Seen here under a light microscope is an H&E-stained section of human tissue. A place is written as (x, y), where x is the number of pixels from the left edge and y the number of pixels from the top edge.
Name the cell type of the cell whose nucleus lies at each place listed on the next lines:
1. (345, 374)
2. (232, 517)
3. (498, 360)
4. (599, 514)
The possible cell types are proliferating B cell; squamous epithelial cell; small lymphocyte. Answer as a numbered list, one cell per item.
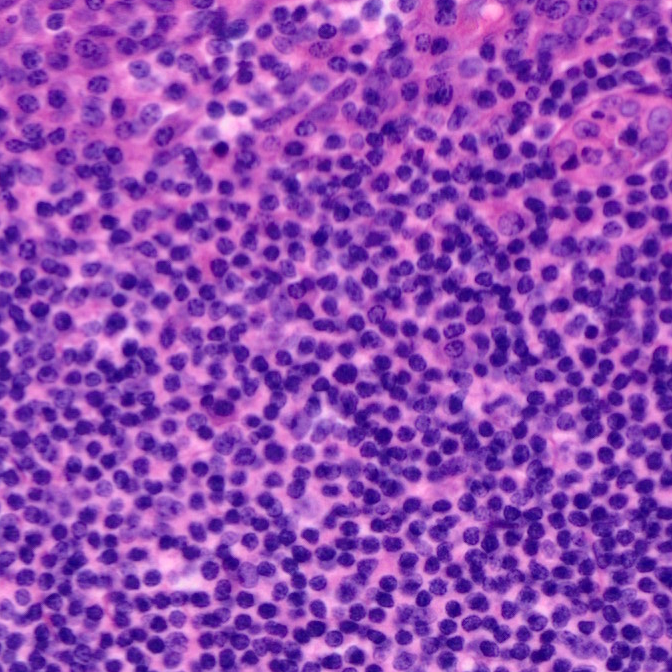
1. proliferating B cell
2. small lymphocyte
3. small lymphocyte
4. small lymphocyte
